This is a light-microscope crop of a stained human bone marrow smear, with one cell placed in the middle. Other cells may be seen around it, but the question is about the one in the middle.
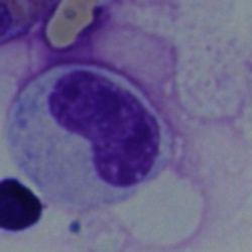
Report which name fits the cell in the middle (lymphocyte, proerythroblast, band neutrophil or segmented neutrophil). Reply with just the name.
band neutrophil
